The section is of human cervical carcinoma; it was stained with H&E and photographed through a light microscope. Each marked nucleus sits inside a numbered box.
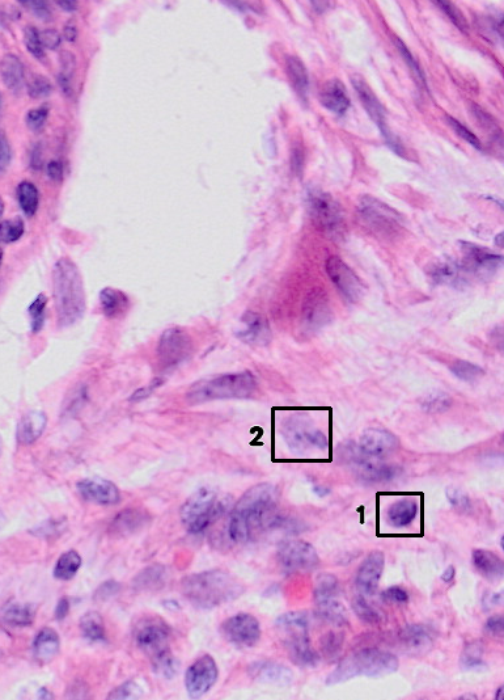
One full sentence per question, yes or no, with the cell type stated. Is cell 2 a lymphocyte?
No, the cell with number 2 is not a lymphocyte but a fibroblast.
